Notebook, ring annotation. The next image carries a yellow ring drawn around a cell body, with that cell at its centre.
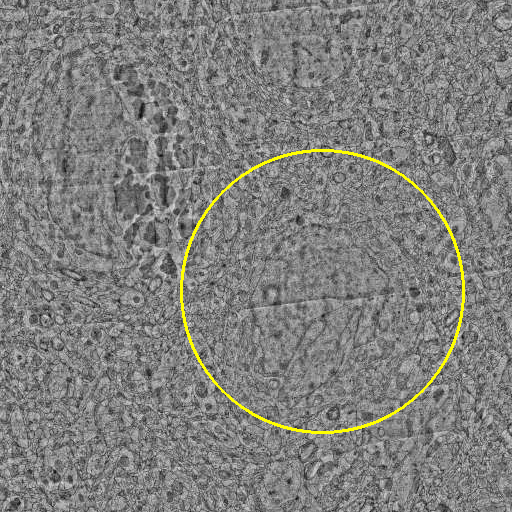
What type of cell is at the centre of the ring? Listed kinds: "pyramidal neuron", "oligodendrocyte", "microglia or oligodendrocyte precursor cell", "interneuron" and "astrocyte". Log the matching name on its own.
interneuron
